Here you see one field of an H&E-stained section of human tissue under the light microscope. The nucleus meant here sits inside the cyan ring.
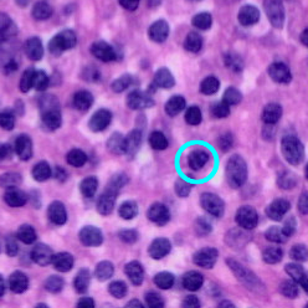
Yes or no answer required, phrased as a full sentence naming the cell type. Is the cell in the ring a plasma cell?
Yes, it is a plasma cell that the cell in the ring is.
